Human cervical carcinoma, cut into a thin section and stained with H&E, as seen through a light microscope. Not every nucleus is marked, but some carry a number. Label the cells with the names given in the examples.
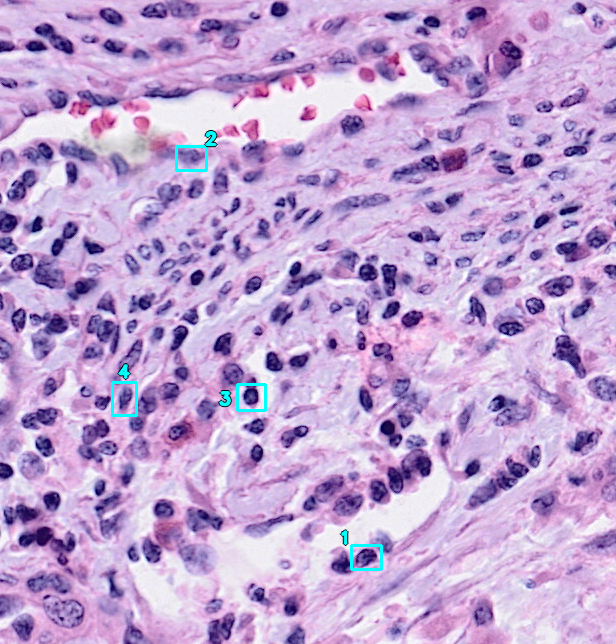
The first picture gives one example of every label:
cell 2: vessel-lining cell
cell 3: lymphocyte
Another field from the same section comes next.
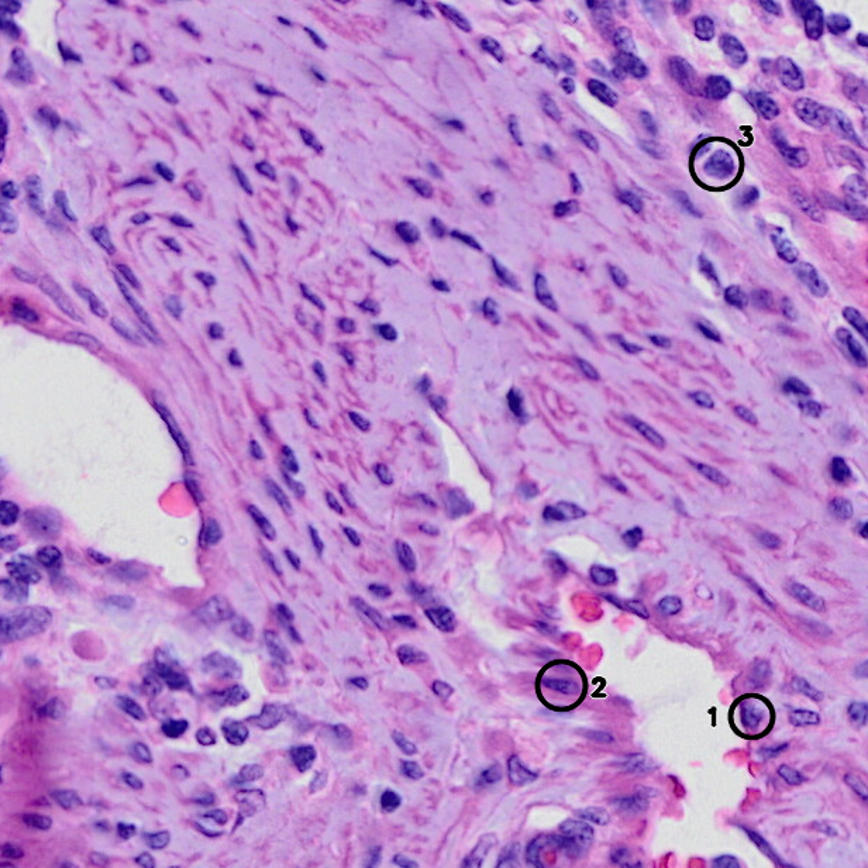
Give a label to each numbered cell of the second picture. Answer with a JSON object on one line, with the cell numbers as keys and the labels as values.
{"1": "vessel-lining cell", "2": "vessel-lining cell", "3": "lymphocyte"}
